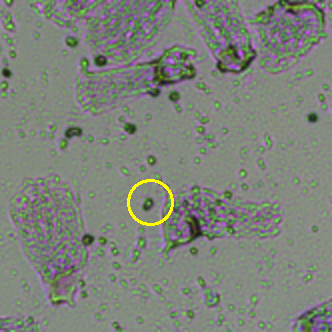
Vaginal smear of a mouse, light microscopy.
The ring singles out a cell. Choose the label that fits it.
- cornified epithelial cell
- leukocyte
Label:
leukocyte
